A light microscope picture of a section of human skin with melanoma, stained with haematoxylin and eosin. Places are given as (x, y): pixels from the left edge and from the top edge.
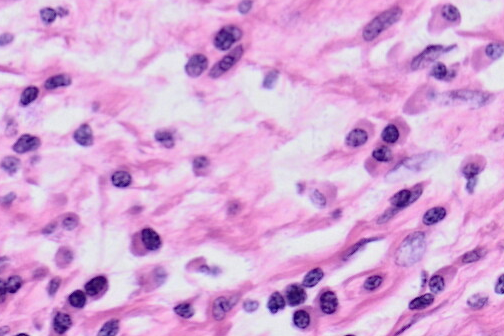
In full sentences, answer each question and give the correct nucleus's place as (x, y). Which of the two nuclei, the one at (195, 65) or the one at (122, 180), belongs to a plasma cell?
The nucleus that belongs to a plasma cell sits at (122, 180).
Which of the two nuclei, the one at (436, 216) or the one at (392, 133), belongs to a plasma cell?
The nucleus at (392, 133) is attributed to a plasma cell, unlike the other nucleus.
